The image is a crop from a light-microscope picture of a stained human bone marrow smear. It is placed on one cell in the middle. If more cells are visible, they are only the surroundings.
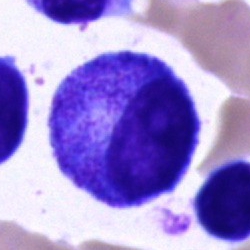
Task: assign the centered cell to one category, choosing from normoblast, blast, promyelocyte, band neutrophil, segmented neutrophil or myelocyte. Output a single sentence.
In the crop, the cell of interest at the centre is a promyelocyte.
